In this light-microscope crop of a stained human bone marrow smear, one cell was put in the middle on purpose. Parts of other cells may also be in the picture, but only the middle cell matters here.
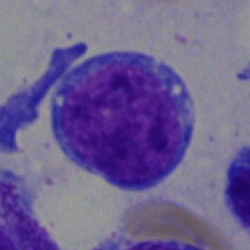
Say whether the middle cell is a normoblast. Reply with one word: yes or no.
no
